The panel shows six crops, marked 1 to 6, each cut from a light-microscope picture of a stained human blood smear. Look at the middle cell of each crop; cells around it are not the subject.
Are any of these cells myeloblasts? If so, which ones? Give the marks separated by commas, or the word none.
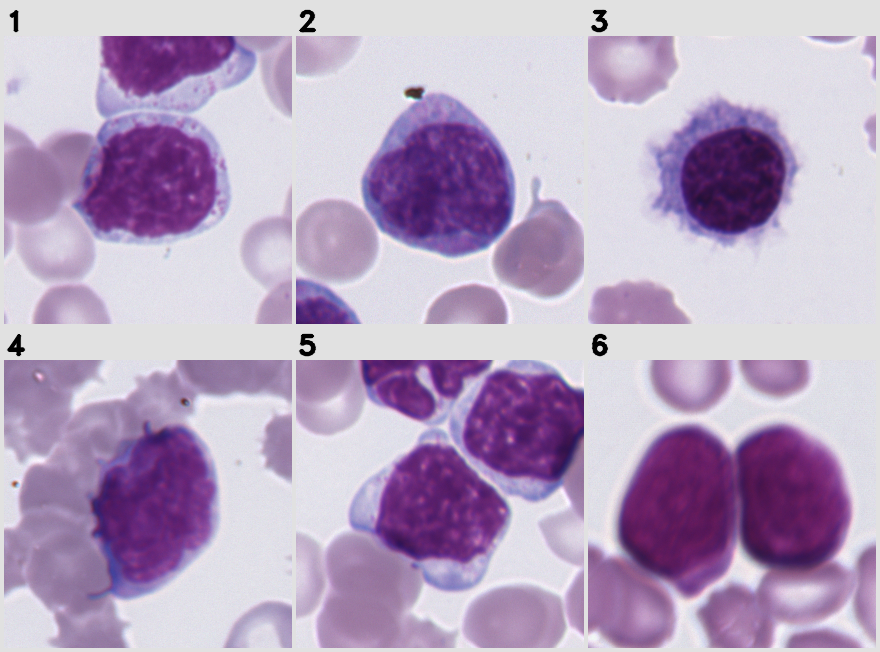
4, 6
